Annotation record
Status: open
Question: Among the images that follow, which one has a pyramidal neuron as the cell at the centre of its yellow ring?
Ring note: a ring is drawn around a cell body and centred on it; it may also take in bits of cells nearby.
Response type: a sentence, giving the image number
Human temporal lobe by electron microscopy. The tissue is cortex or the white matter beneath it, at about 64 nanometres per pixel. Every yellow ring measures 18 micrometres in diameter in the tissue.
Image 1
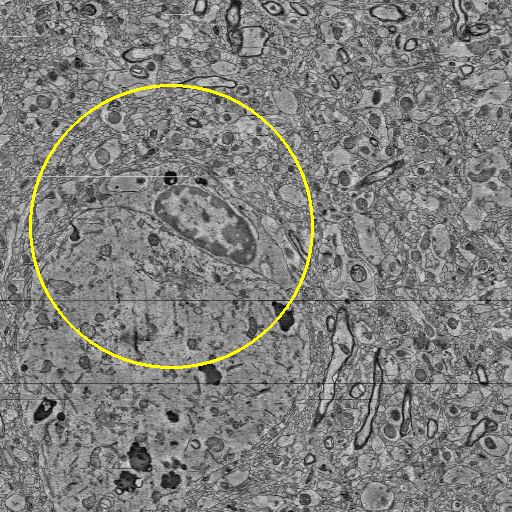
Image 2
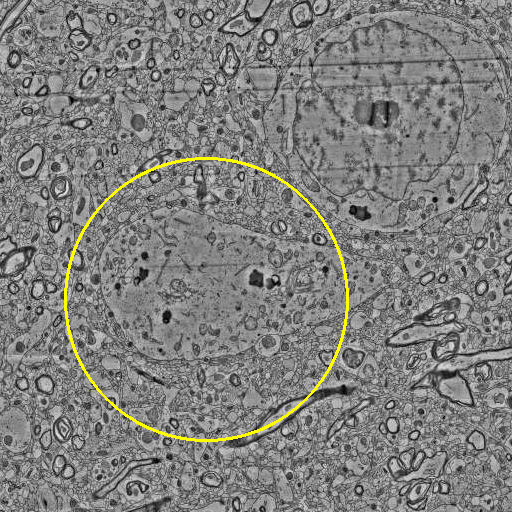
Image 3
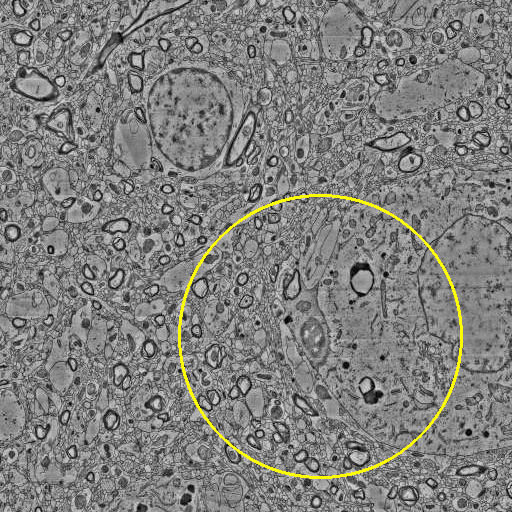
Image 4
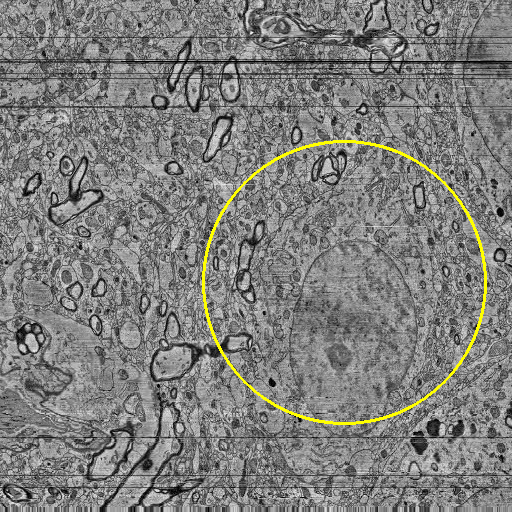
Image 2 shows it at the centre of its ring.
